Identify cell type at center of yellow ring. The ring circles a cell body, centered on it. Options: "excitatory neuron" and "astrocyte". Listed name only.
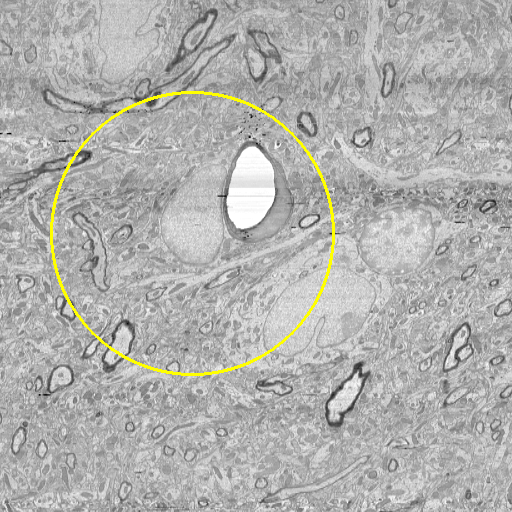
astrocyte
